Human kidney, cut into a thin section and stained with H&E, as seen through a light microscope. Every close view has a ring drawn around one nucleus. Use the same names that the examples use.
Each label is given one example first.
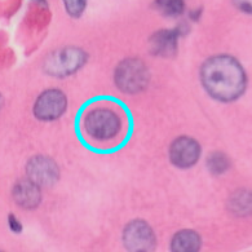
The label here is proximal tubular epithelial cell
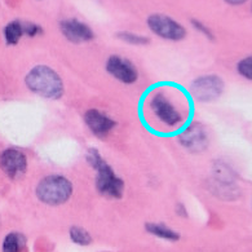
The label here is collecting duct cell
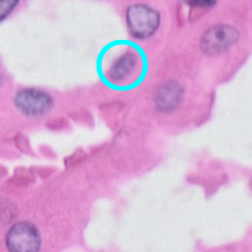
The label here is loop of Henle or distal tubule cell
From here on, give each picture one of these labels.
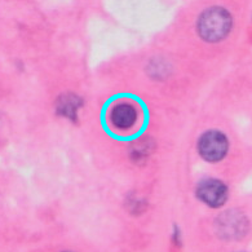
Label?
proximal tubular epithelial cell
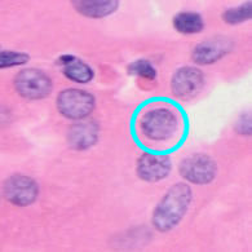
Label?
collecting duct cell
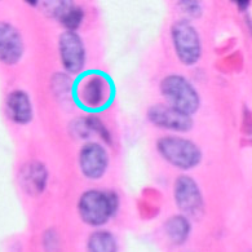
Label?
collecting duct cell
